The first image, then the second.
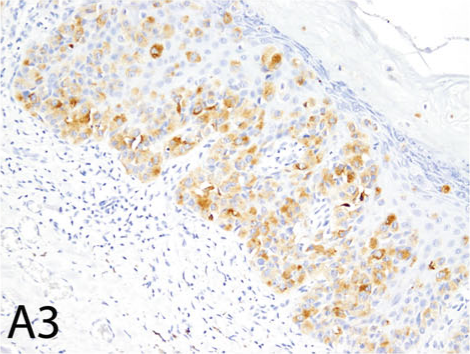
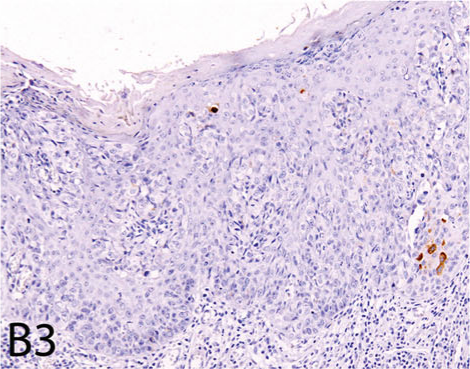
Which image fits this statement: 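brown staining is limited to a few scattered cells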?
the second image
